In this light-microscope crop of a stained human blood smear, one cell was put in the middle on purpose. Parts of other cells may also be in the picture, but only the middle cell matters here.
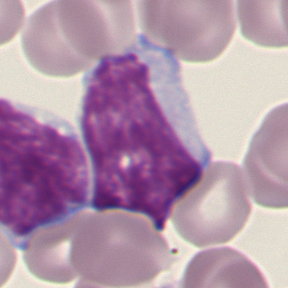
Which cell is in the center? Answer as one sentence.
In the crop, the cell of interest at the centre is a typical lymphocyte.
